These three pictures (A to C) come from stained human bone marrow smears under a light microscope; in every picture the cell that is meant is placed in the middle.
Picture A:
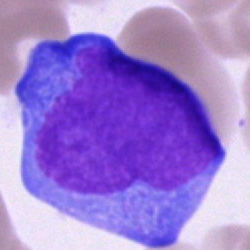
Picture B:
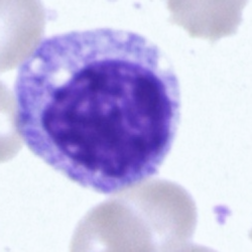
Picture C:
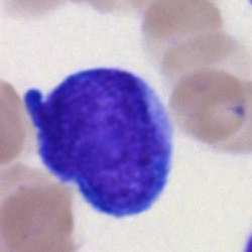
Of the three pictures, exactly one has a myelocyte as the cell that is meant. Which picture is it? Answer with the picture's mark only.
B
